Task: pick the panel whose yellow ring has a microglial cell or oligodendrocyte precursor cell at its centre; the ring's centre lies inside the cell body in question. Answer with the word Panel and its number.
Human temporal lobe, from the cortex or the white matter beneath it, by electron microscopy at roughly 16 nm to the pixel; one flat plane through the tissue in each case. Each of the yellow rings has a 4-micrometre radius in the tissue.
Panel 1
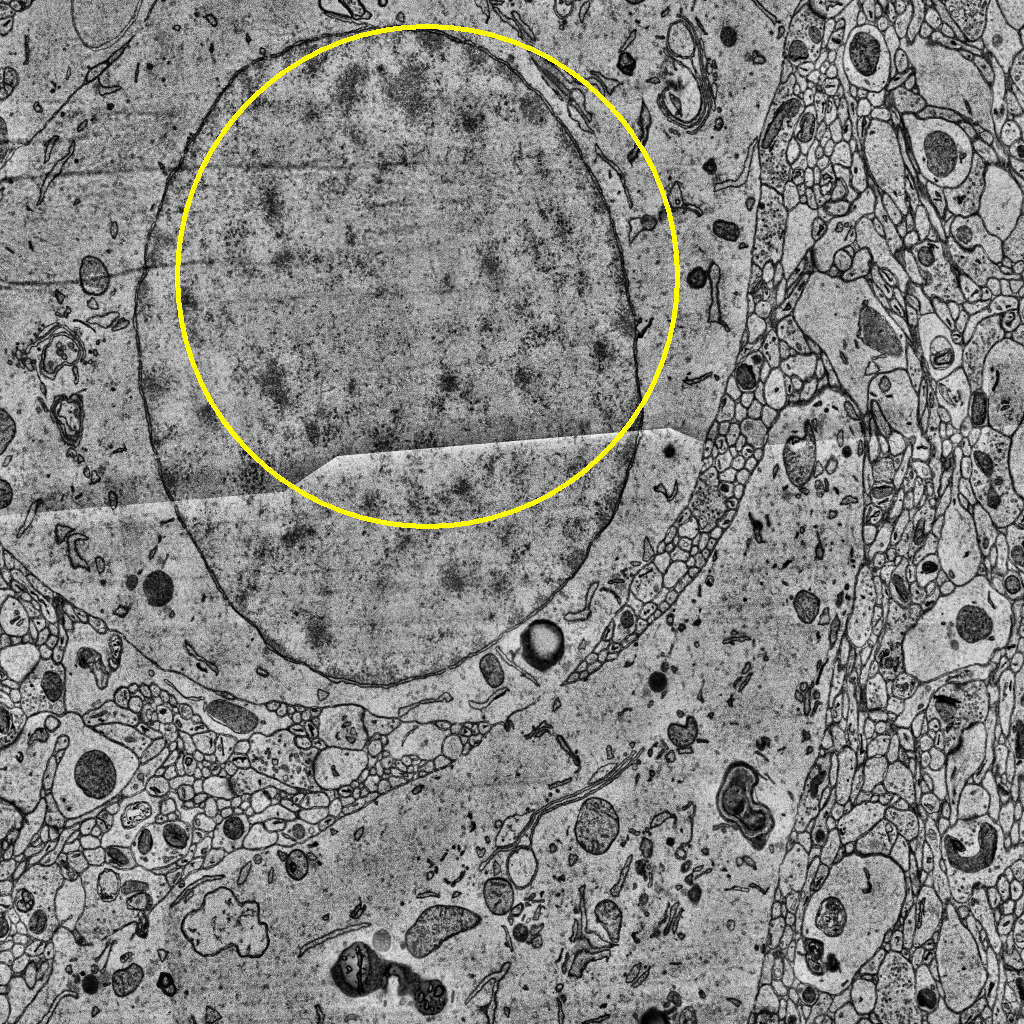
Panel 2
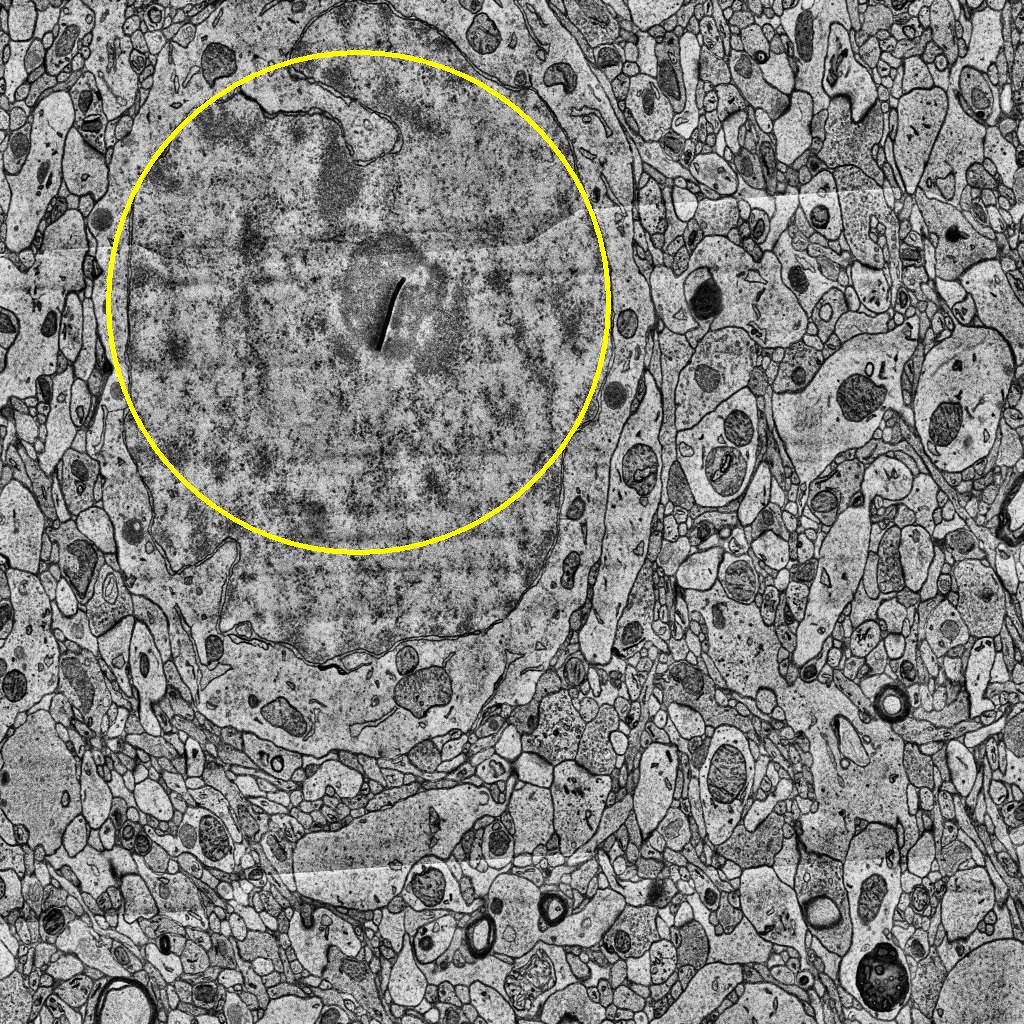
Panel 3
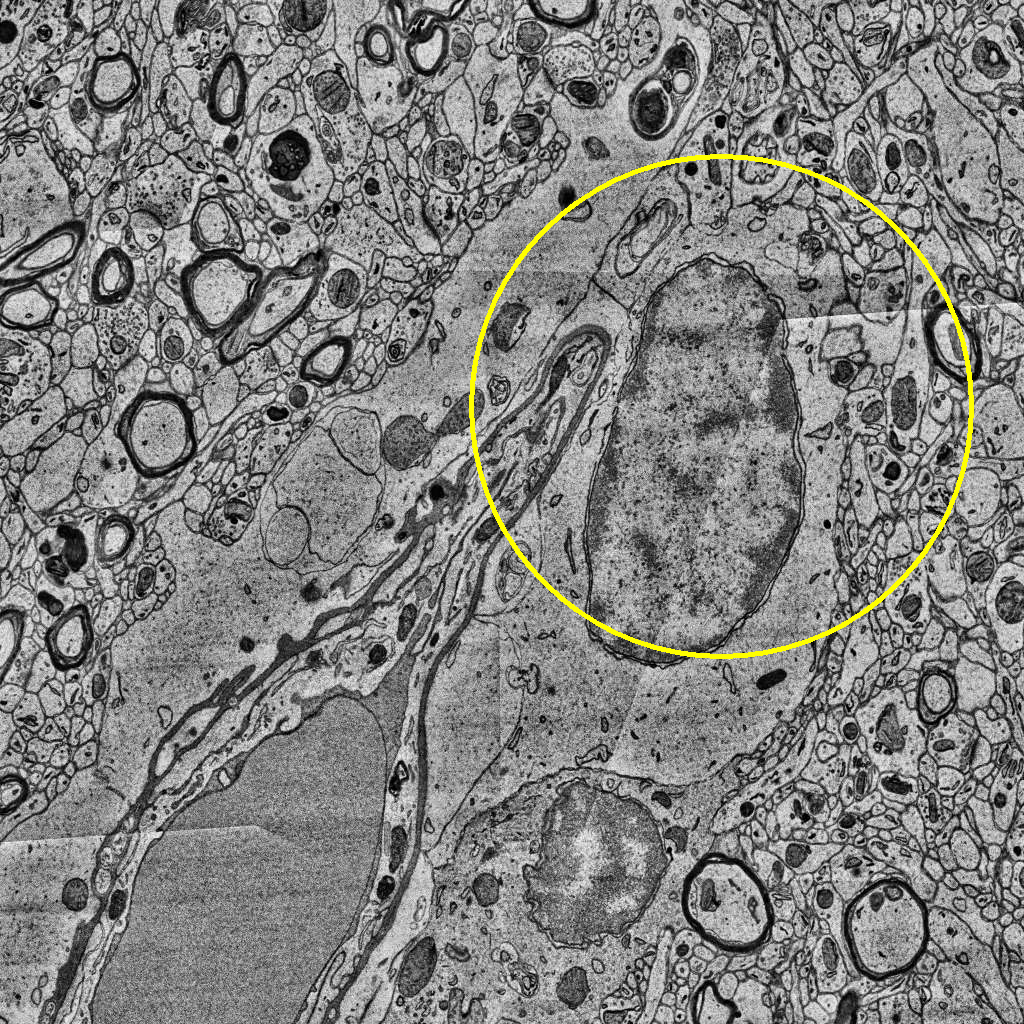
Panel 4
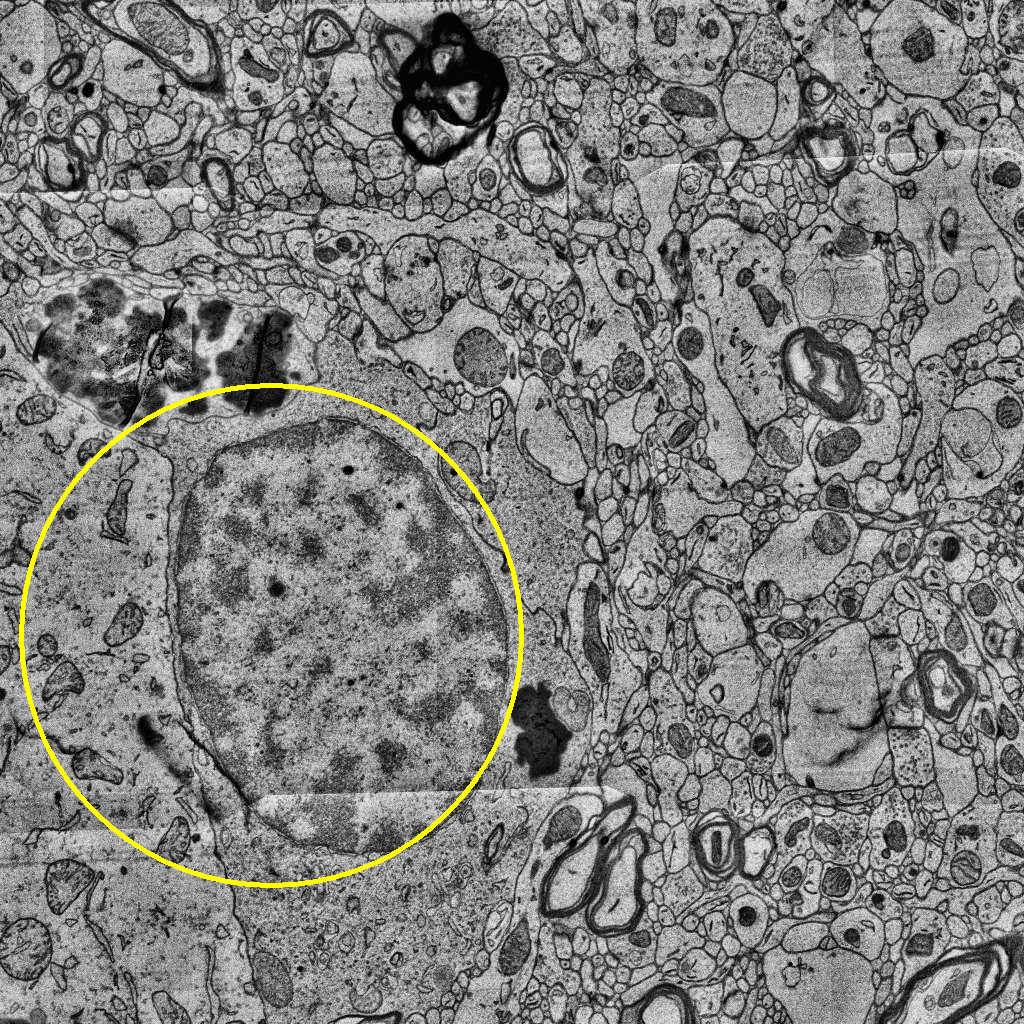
Panel 3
